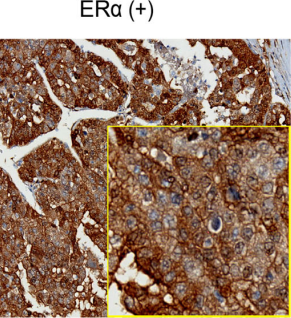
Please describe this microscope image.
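The tumour cells show intense brown staining throughout their abundant cytoplasm and along the cell borders, giving a dense, uniform brown field. Their nuclei are round to oval, often with visible nucleoli, and mostly remain pale blue from the counterstain, standing out against the brown cell bodies. The staining is strongly cytoplasmic rather than nuclear. The stroma between the cords is sparse.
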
